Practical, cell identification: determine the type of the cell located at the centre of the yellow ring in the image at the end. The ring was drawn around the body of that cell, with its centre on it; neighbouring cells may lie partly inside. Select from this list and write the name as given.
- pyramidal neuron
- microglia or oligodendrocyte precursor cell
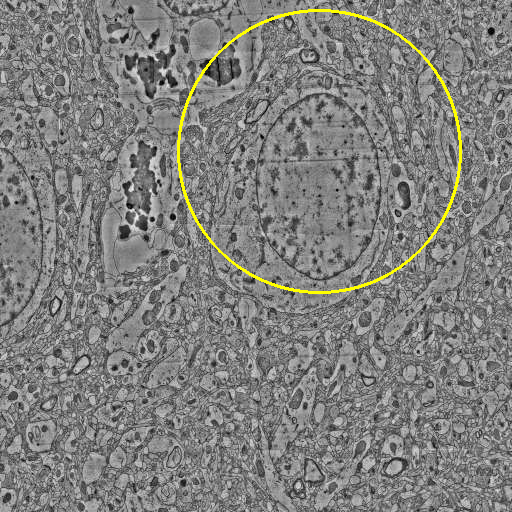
pyramidal neuron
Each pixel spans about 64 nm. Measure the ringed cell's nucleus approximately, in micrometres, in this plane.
Roughly 12 by 8 micrometres is the size of the nucleus in this plane.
